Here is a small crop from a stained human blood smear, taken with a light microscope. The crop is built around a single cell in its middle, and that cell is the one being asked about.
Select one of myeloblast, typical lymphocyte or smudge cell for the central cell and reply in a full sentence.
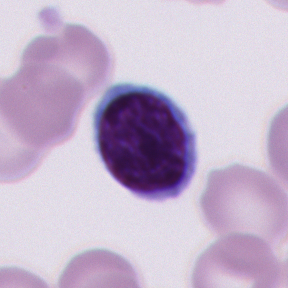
On this slide crop, the central cell is a typical lymphocyte.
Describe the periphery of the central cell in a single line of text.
Around its whole circumference the outline stays smooth, free of projections.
